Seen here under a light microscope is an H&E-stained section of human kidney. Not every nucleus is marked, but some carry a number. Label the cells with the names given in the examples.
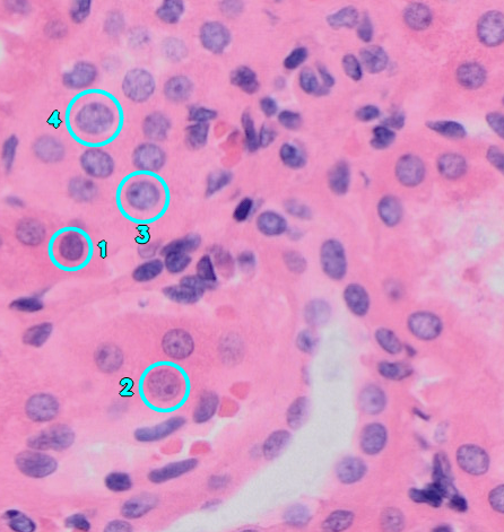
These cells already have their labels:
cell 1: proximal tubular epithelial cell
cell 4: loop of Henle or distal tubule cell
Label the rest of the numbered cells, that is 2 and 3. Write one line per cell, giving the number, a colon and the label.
2: proximal tubular epithelial cell
3: loop of Henle or distal tubule cell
